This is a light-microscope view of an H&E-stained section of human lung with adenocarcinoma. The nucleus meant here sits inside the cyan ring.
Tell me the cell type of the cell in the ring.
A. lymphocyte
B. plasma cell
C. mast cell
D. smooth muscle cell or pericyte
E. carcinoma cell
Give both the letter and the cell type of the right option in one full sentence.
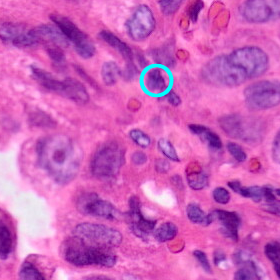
Option A names it right: the cell in the ring is a lymphocyte.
